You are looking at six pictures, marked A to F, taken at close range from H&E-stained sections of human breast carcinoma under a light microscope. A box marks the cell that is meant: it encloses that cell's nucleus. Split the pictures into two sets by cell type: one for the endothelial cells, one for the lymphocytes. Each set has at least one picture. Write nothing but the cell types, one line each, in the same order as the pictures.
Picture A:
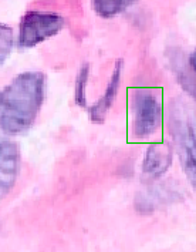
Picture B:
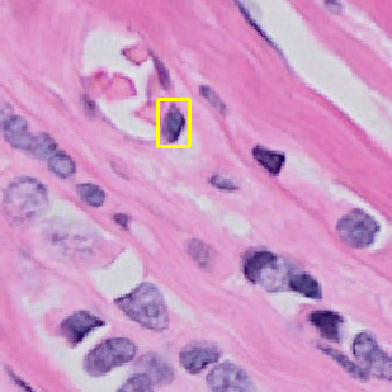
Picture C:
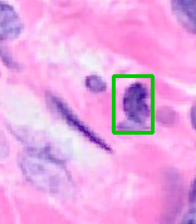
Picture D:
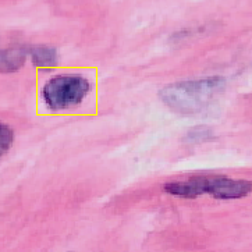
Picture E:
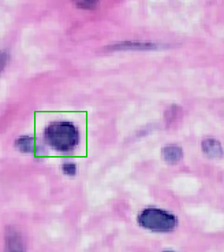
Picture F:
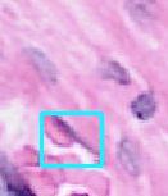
endothelial cell
endothelial cell
lymphocyte
lymphocyte
lymphocyte
endothelial cell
